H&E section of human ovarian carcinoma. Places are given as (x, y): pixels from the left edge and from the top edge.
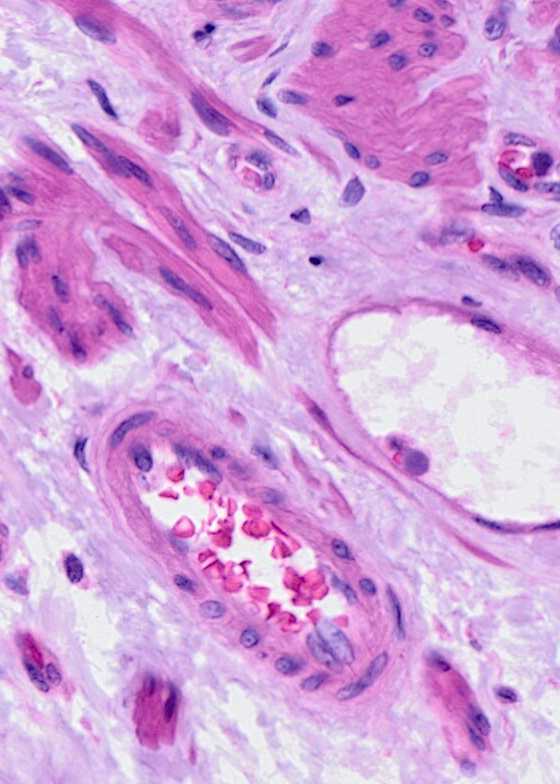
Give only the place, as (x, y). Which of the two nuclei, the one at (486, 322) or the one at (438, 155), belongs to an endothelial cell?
(486, 322)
